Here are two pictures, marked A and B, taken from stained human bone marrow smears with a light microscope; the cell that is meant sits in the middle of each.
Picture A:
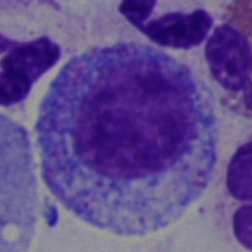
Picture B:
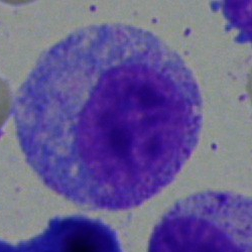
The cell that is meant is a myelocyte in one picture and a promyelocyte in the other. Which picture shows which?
A: promyelocyte
B: myelocyte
